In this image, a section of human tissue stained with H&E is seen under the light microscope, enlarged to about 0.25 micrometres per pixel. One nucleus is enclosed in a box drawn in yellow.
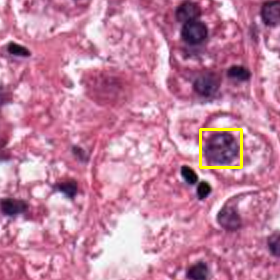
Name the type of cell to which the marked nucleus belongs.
adrenal cortical cell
